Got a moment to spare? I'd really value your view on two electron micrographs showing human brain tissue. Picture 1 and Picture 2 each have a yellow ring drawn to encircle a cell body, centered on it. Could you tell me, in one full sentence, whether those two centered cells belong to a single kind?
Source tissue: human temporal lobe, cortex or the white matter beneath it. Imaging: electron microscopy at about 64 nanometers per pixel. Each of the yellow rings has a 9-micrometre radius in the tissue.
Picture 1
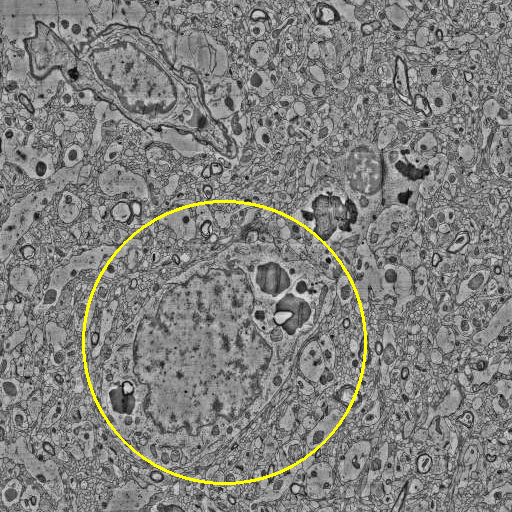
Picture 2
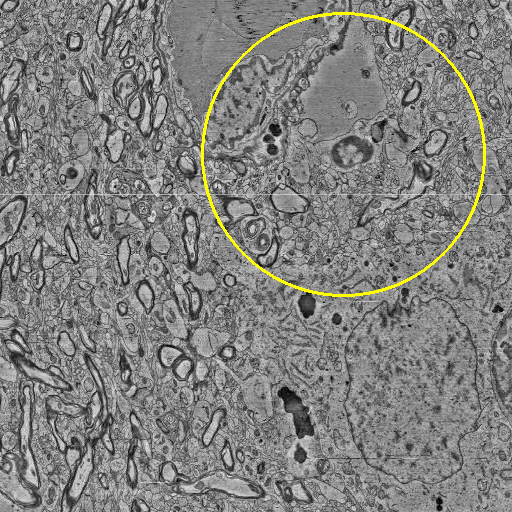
No, the two centered cells in Picture 1 and Picture 2 are of two kinds.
